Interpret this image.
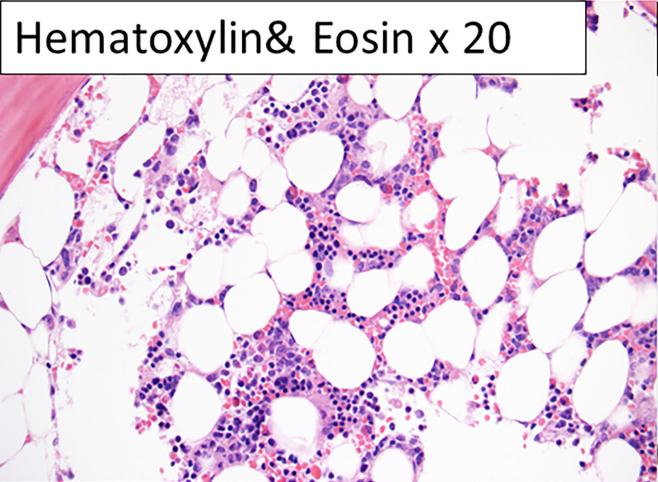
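Bone marrow section in which numerous round, clear fat spaces are interspersed with strands and patches of hematopoietic cells, with a pink bony trabecula at the upper left edge. The hematopoietic cells include many small cells with round, dark-staining nuclei lying in clusters, mixed with cells with paler nuclei and pink cytoplasm, and red blood cells scattered between them.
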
